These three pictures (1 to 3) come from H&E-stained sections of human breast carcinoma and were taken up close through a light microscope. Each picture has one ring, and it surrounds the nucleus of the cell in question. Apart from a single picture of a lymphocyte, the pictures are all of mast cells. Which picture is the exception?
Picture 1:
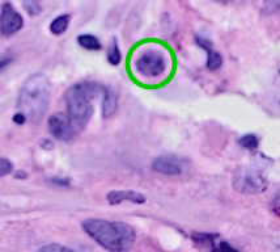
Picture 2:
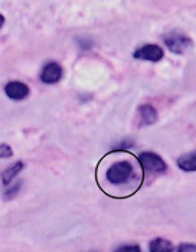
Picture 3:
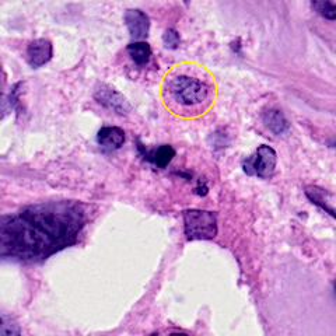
2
